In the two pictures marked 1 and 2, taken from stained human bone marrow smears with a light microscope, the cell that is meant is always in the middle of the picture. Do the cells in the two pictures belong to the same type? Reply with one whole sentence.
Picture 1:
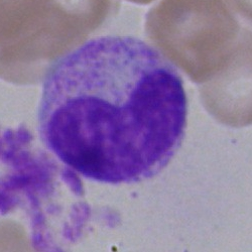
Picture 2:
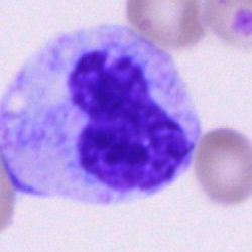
Yes, both cells are metamyelocytes.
